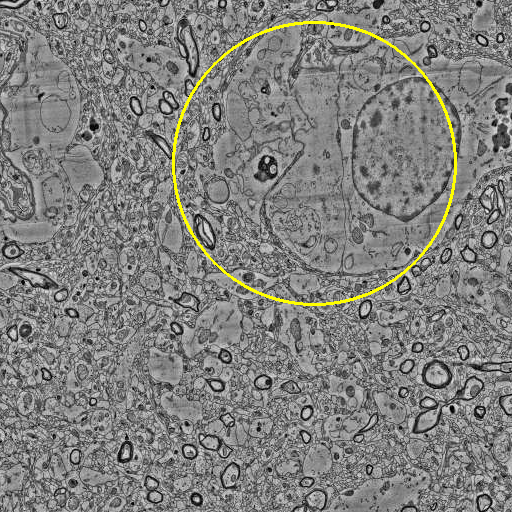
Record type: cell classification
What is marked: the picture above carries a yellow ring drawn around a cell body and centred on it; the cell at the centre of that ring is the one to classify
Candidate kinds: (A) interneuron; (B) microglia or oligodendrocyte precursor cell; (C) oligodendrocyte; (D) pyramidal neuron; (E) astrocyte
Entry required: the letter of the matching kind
E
